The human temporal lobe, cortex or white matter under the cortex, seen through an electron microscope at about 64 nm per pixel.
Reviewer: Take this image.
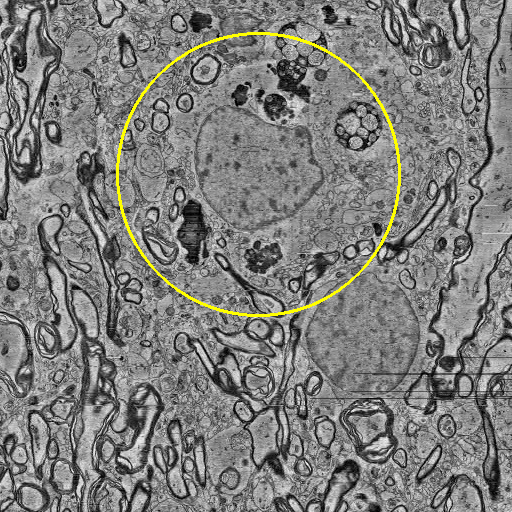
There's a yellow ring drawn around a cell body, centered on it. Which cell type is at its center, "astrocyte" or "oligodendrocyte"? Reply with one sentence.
At the center of the yellow ring is an astrocyte.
